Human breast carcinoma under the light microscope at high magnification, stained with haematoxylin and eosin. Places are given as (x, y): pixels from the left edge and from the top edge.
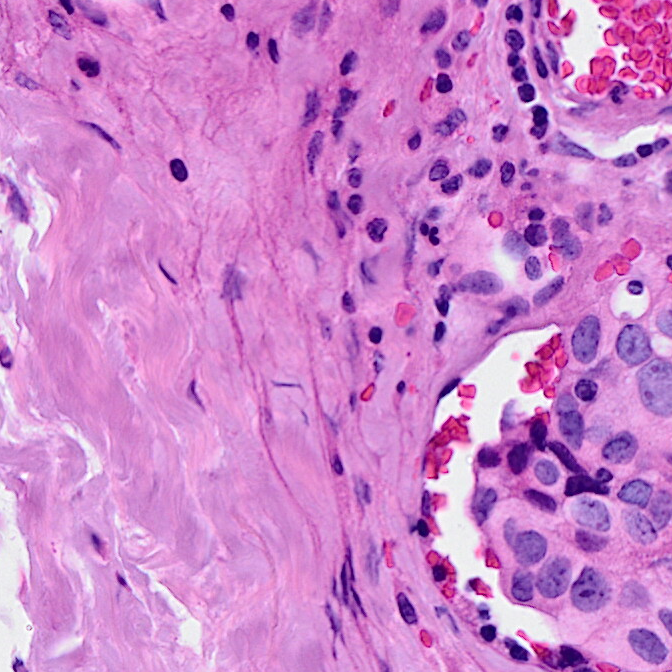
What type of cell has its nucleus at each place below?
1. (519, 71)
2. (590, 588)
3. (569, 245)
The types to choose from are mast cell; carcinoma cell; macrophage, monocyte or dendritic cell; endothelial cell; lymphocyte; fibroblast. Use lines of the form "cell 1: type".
cell 1: lymphocyte
cell 2: carcinoma cell
cell 3: endothelial cell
